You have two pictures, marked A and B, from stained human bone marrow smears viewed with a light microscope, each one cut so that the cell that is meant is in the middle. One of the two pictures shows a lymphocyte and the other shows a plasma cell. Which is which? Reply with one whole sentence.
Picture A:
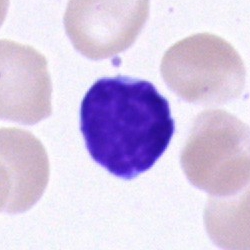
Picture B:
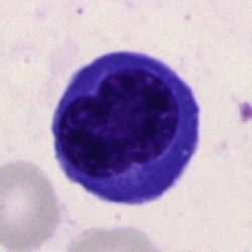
Picture A is of a lymphocyte, and picture B is of a plasma cell.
